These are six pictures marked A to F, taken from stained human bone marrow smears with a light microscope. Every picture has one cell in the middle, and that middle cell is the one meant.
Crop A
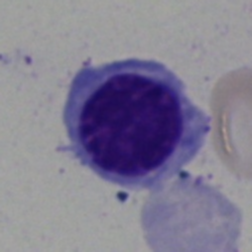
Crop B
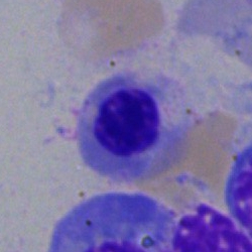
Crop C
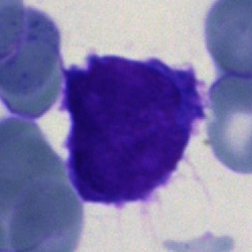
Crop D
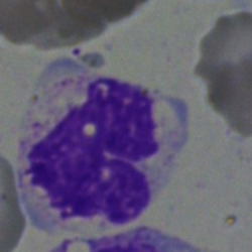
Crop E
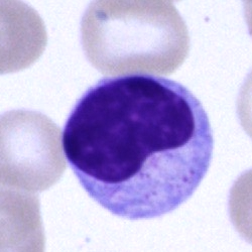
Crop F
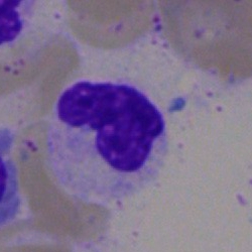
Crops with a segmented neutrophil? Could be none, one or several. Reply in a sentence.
The one crop that shows a segmented neutrophil is crop D.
